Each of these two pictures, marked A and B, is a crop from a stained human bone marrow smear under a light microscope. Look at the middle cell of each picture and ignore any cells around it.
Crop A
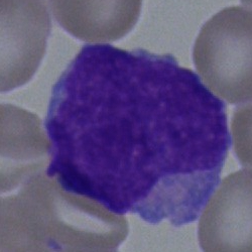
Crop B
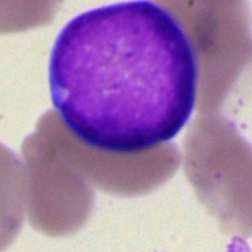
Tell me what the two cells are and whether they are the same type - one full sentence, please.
Yes, the pair of crops both show blasts.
